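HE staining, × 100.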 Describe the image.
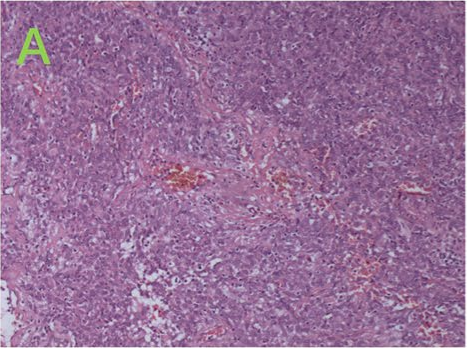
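At low power the tissue is a sheet of densely packed cells with ovoid to spindled dark nuclei, growing without obvious layering. Scattered throughout are small vascular channels, several filled with red blood cells. A few small clear spaces break up the cellular sheets.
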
